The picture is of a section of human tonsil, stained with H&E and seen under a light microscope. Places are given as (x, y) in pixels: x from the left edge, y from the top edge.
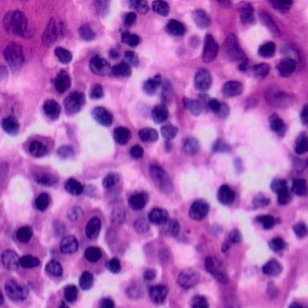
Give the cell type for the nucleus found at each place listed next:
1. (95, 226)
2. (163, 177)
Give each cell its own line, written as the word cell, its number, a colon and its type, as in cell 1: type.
cell 1: plasma cell
cell 2: squamous epithelial cell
